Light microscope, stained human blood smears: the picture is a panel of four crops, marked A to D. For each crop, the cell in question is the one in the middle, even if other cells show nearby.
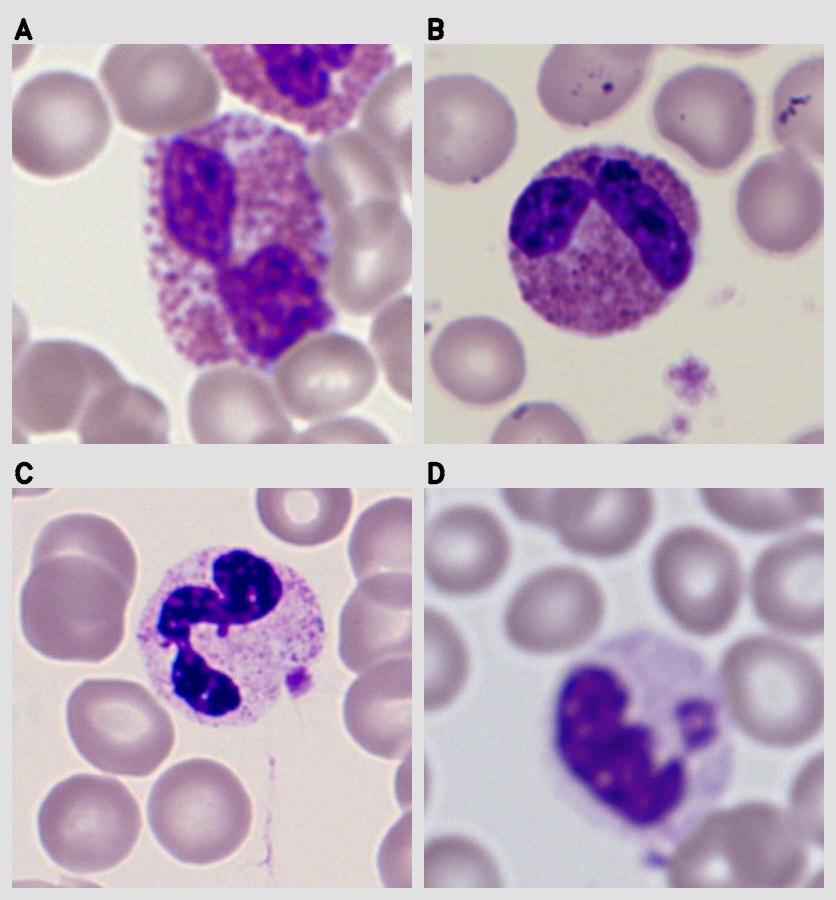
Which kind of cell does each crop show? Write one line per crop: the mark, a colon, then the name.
A: eosinophil
B: eosinophil
C: segmented neutrophil
D: segmented neutrophil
